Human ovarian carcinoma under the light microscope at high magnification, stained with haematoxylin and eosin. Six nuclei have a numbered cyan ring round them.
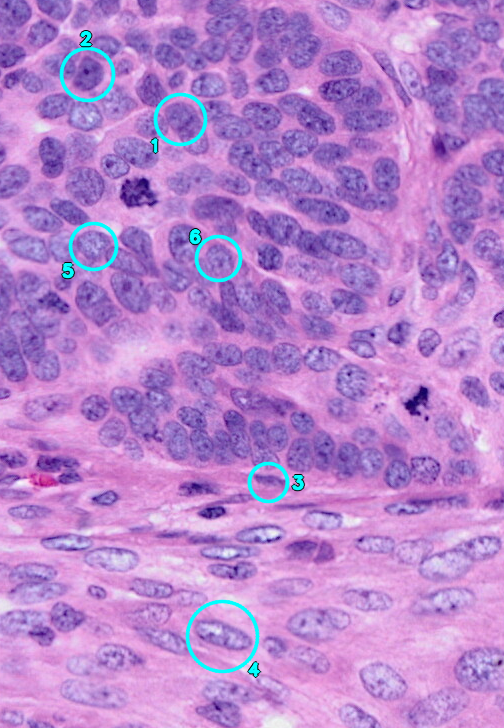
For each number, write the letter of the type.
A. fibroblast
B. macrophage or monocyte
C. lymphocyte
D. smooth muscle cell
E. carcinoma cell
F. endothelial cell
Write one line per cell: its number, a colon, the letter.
1: E
2: E
3: A
4: A
5: E
6: E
